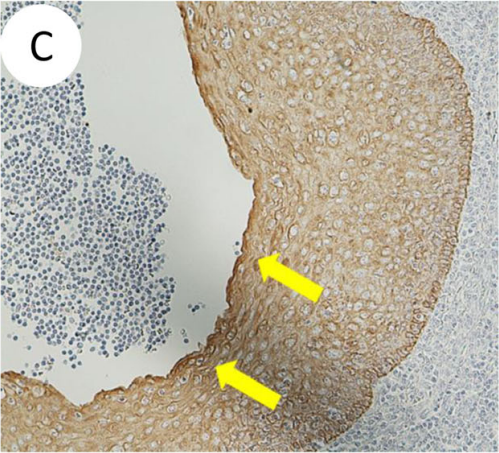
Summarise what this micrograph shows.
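This is the crypt epithelium of a tonsil, a thick stratified epithelium whose cells are all stained brown, lining a crypt space. The epithelial cells are polygonal, closely packed, with pale oval nuclei set in brown cytoplasm, and the layer curves around the lumen. Inside the crypt lumen lies a dense collection of small round lymphocytes with dark blue nuclei, and unstained blue lymphoid tissue borders the epithelium on its far side.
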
